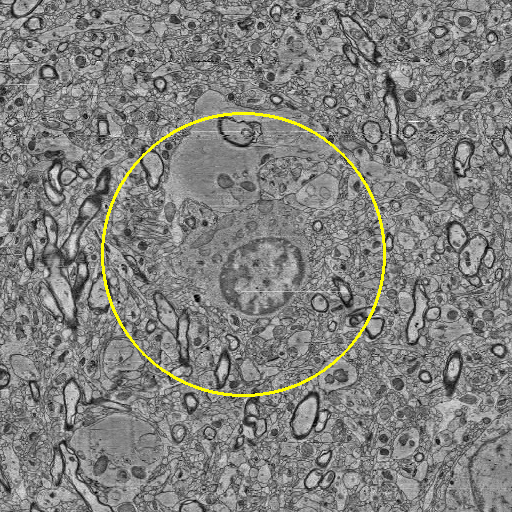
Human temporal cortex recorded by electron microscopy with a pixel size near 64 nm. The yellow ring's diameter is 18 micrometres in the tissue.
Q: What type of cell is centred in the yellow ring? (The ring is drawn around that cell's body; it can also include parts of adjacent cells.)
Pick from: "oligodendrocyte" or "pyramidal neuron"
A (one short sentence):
The yellow ring is centred on an oligodendrocyte.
